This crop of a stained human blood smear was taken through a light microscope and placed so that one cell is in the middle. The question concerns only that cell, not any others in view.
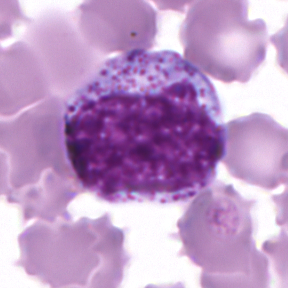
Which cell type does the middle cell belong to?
metamyelocyte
